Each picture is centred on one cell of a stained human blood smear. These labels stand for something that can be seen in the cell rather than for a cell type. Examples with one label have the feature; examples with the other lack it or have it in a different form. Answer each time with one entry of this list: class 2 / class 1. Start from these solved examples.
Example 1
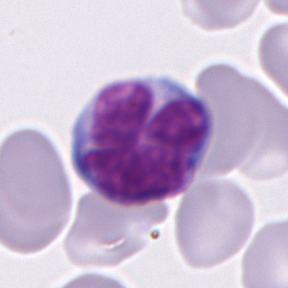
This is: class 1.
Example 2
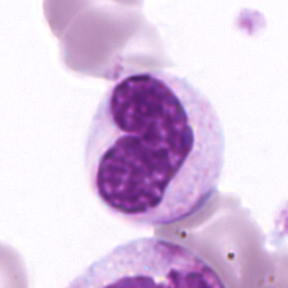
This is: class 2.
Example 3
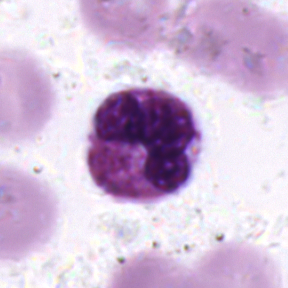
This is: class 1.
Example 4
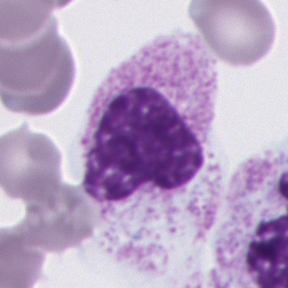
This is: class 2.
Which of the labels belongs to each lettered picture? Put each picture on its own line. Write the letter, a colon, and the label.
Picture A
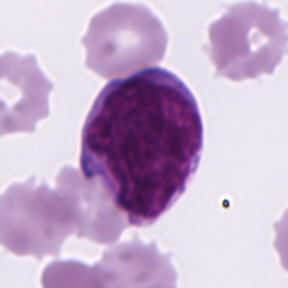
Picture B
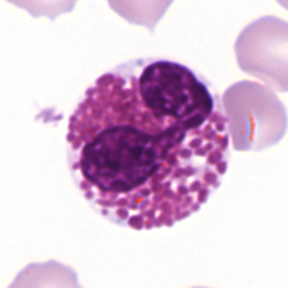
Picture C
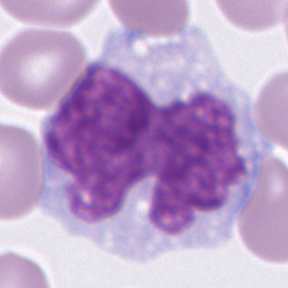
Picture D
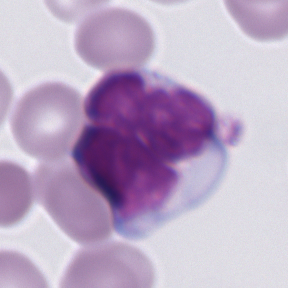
A: class 2.
B: class 1.
C: class 1.
D: class 1.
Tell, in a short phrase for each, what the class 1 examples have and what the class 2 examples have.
In class 1: lobed nucleus. In class 2: single compact nucleus.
